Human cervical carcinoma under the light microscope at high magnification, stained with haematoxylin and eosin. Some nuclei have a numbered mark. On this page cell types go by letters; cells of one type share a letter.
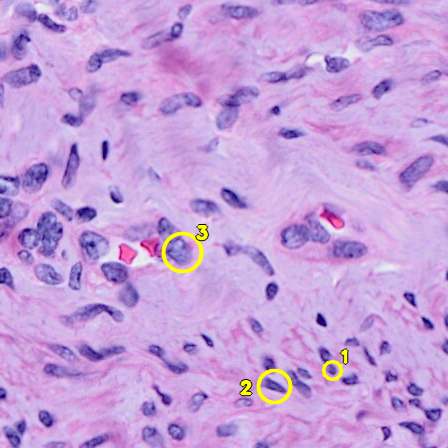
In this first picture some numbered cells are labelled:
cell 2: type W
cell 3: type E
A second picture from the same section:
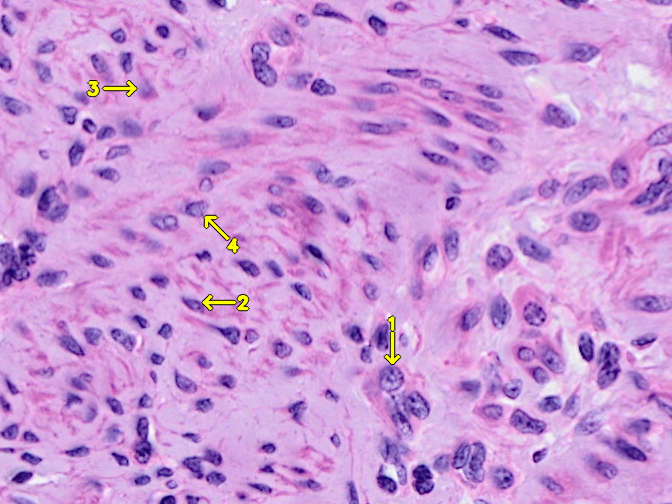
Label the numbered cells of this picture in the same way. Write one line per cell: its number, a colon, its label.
1: type E
2: type W
3: type W
4: type W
